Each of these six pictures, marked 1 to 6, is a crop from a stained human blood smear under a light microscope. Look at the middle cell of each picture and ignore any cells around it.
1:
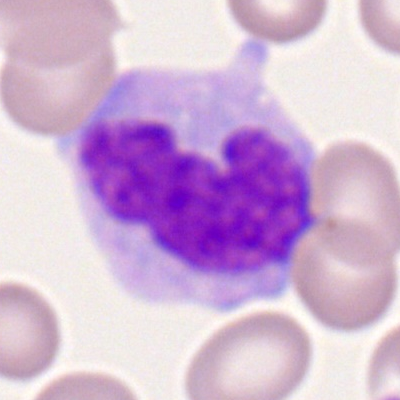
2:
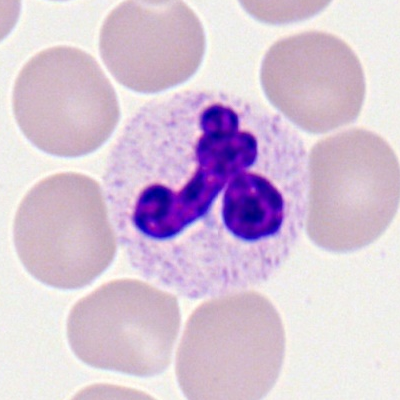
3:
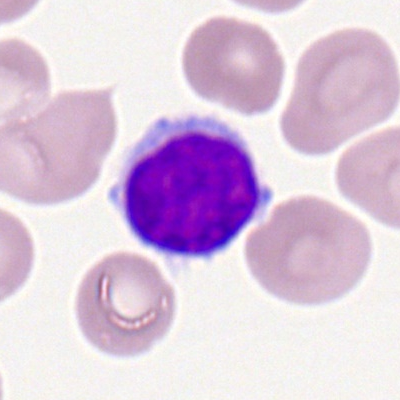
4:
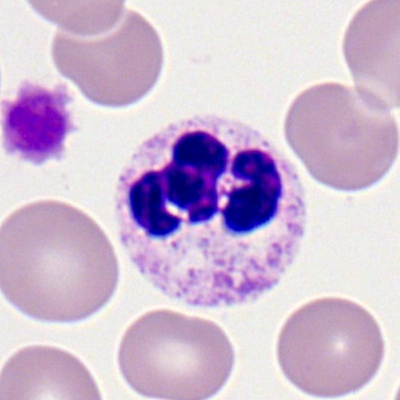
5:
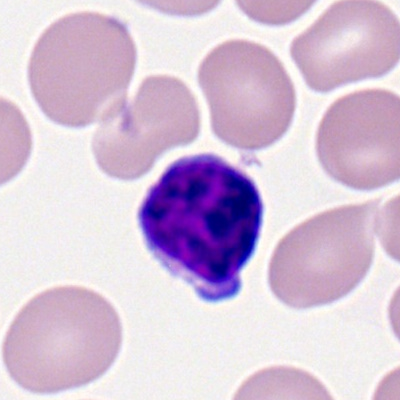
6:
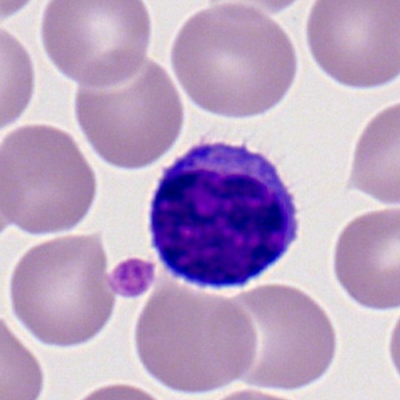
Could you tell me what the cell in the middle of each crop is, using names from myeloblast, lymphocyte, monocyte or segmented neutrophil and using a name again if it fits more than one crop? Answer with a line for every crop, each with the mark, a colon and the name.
1: monocyte
2: segmented neutrophil
3: lymphocyte
4: segmented neutrophil
5: lymphocyte
6: lymphocyte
